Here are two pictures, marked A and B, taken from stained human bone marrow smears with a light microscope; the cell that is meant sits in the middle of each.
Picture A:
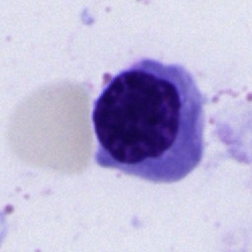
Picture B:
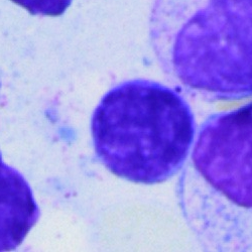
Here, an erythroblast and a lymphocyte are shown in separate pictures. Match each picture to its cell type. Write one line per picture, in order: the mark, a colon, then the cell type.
A: erythroblast
B: lymphocyte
